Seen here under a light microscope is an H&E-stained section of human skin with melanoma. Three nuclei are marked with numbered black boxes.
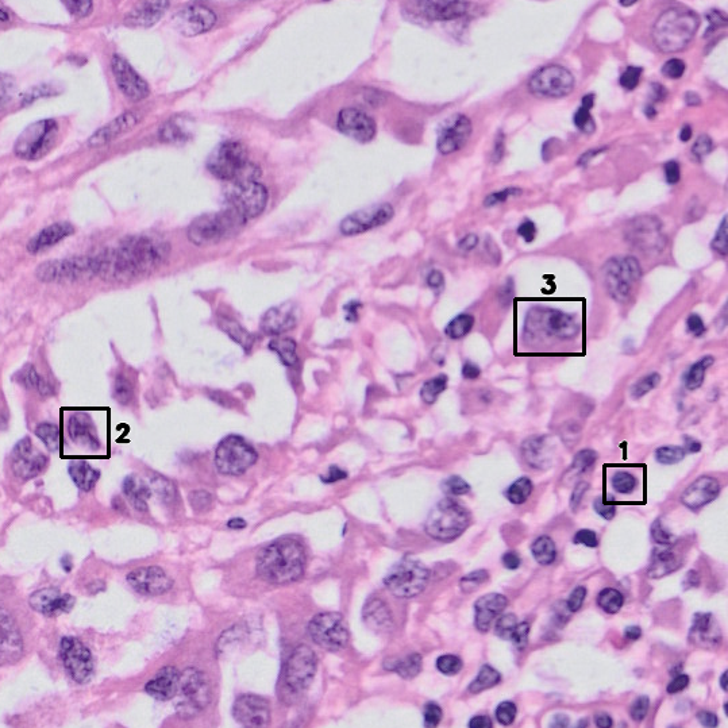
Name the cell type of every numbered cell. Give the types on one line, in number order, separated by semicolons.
lymphocyte; melanoma cell; melanoma cell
